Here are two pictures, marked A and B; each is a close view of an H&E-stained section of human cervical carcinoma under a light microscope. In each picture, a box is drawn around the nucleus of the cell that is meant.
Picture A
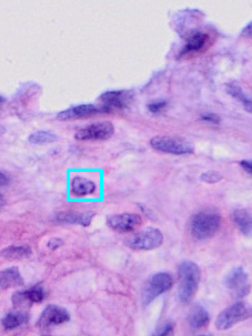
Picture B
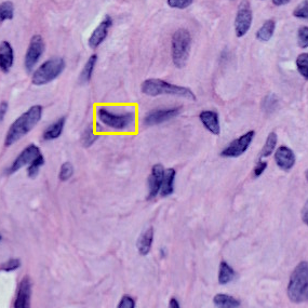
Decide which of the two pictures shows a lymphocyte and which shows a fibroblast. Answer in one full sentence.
Picture A is of a lymphocyte, and picture B is of a fibroblast.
